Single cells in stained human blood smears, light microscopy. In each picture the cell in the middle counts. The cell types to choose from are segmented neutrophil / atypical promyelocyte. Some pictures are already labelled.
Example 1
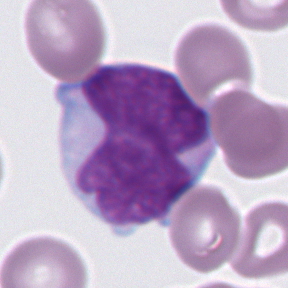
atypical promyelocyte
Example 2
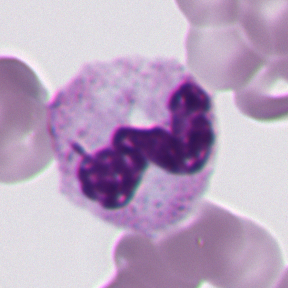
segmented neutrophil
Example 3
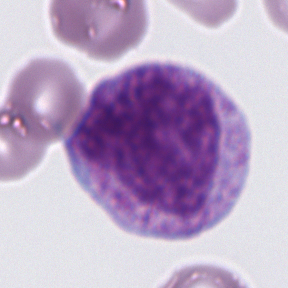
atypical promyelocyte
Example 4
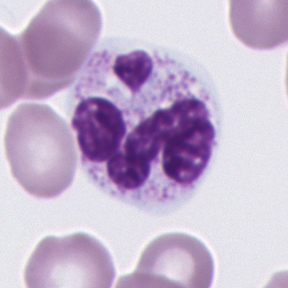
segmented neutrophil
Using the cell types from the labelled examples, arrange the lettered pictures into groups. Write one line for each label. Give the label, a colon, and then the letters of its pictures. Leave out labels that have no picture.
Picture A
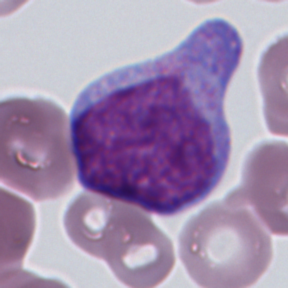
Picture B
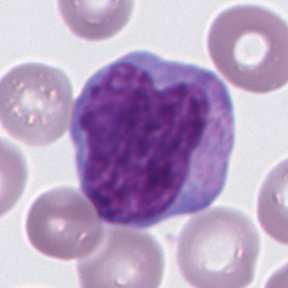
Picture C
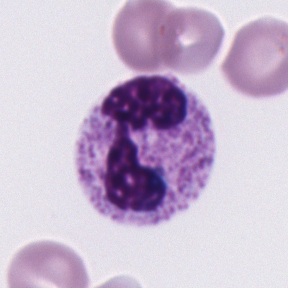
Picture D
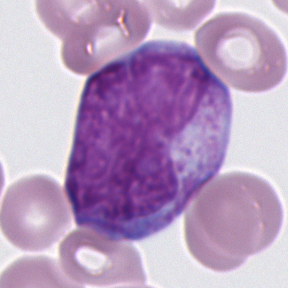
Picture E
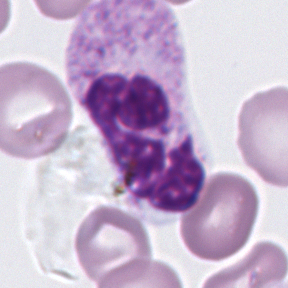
segmented neutrophil: C, E
atypical promyelocyte: A, B, D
